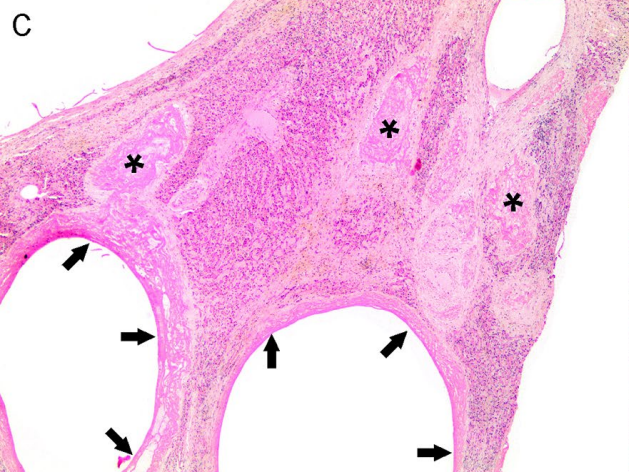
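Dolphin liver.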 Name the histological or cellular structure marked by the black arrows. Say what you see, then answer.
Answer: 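The arrows point to thick bright pink bands lining the rims of large empty spaces. The bands are acellular and smooth toward the lumen.
Conclusion: thick peripheral fibrin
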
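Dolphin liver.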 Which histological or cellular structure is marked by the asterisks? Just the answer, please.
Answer: Thrombi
